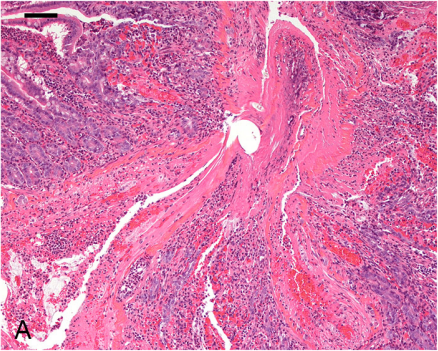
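Broad pink bands of fibrous and muscular tissue converge on a small round empty space in the centre, giving a drawn-together, radiating pattern. Between the pink bands the tissue is crowded with purple-staining nuclei, indicating dense cellularity. Bright red patches scattered through the section mark collections of red blood cells. Remnants of glandular mucosa with purple epithelium are seen toward the upper left edge.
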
